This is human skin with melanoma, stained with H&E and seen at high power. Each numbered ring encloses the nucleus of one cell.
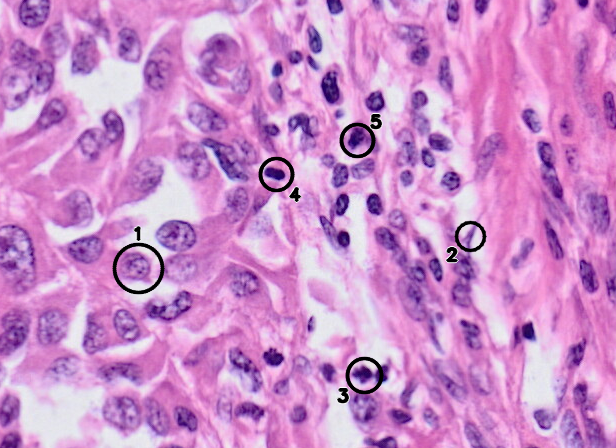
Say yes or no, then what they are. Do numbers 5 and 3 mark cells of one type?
No, cell 5 is a plasma cell, and cell 3 is, by contrast, a lymphocyte.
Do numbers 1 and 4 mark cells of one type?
No, in this section cell 1 is a melanoma cell and cell 4 is a lymphocyte.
